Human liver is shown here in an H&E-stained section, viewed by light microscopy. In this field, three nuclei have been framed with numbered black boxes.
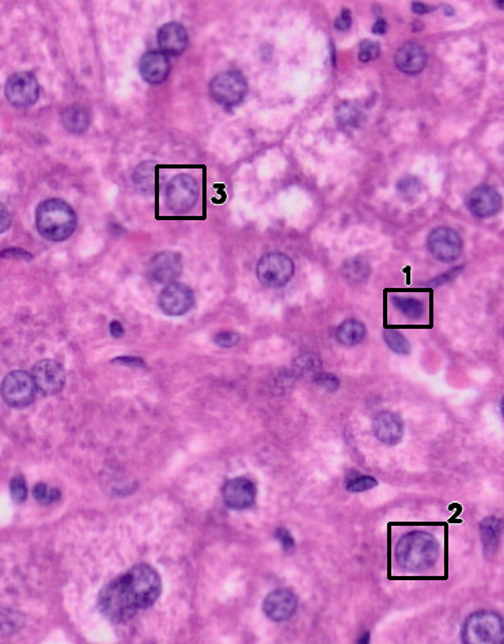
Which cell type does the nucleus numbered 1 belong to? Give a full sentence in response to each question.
Within this field of view, the cell labelled 1 is a fibroblast or stellate cell.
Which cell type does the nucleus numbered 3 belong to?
The identity of cell 3 is that of a hepatocyte.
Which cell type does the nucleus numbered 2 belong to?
The cell assigned the number 2 is a hepatocyte.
